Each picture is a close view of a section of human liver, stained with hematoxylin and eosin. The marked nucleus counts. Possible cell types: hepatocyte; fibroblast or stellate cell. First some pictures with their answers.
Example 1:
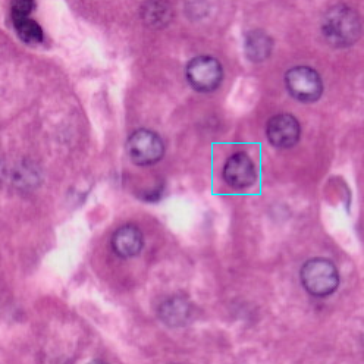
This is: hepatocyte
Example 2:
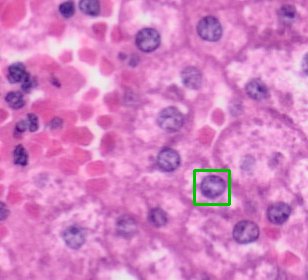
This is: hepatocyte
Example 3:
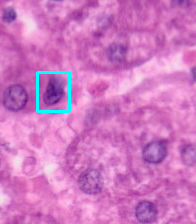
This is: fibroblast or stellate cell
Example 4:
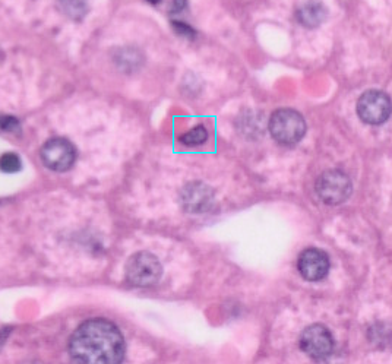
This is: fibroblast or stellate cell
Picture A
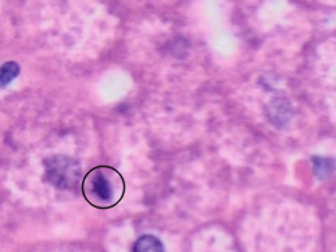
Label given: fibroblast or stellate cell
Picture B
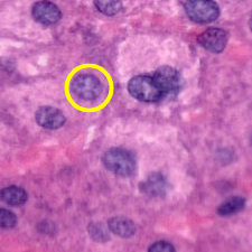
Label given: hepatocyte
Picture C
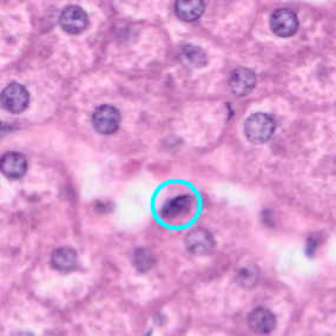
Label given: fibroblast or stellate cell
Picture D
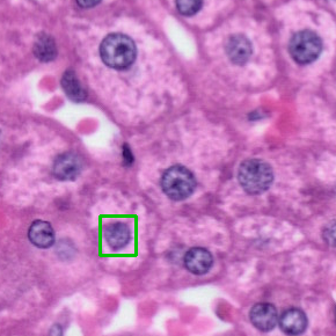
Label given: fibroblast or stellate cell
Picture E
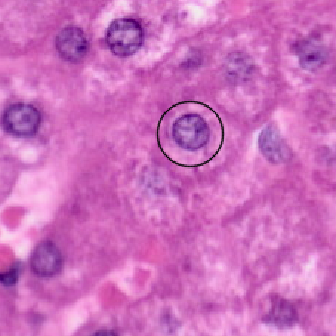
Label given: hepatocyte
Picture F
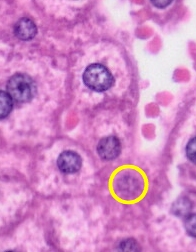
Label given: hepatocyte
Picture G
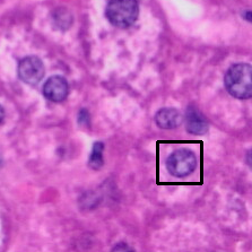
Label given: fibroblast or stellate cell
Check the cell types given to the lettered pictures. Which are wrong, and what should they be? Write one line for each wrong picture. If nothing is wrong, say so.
D is labelled fibroblast or stellate cell; correct label: hepatocyte
G is labelled fibroblast or stellate cell; correct label: hepatocyte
